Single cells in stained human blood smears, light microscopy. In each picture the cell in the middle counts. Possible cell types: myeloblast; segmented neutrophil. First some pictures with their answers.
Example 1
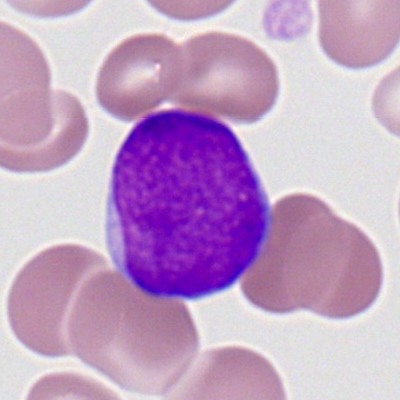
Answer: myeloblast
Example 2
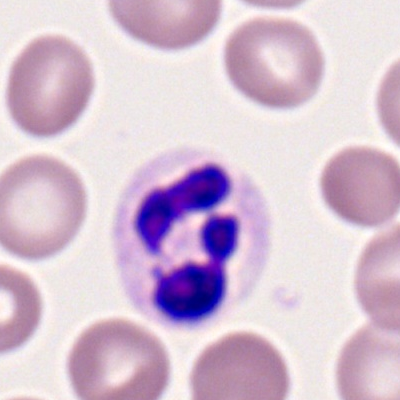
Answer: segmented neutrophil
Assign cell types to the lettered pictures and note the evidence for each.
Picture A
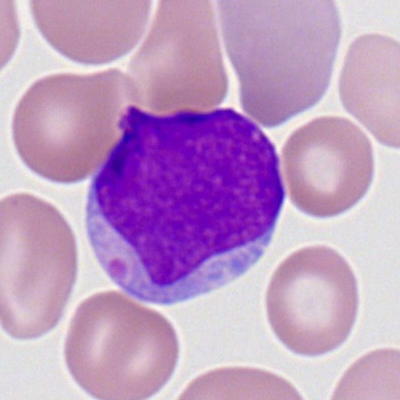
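myeloblast. Reason: The nucleus fills most of the cell.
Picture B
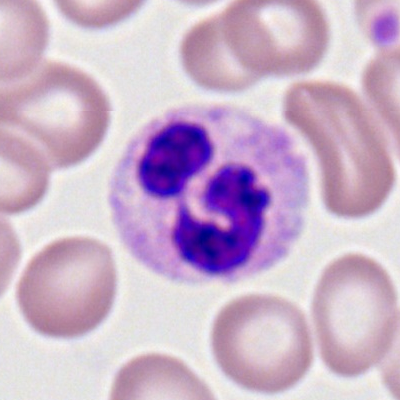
segmented neutrophil. Reason: The cytoplasm is plentiful and pale pinkish-lilac.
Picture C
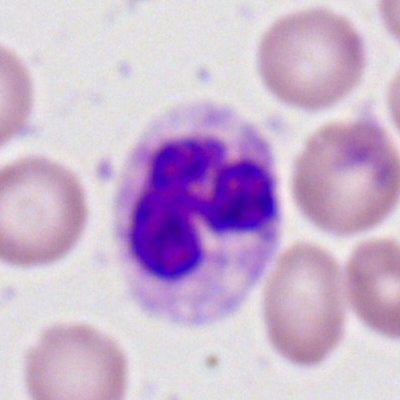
segmented neutrophil. Reason: The nucleus is divided into separate lobes.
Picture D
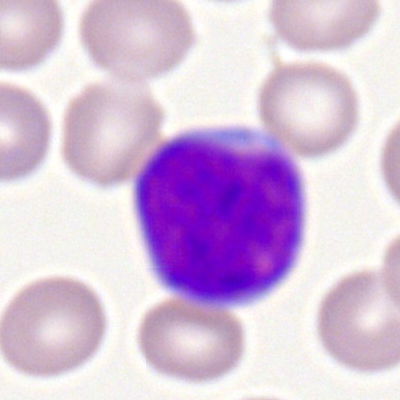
myeloblast. Reason: The cytoplasm is very scant, showing only as a thin pale blue crescent along the top edge.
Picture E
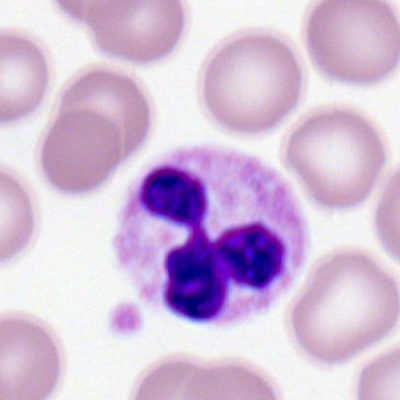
segmented neutrophil. Reason: The nucleus is divided into three lobes.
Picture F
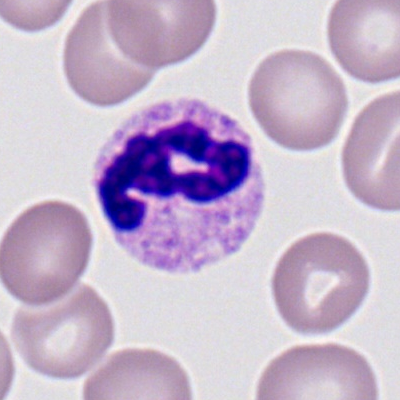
segmented neutrophil. Reason: The nucleus is a single long strand curved into a hook shape.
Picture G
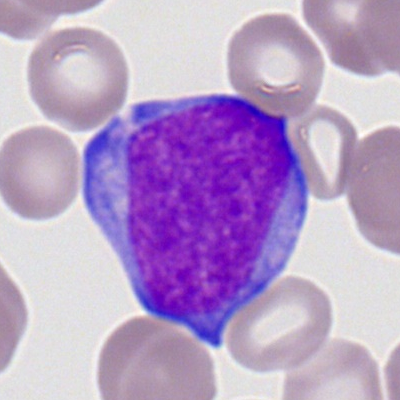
myeloblast. Reason: The nucleus is a single unlobed mass filling most of the cell.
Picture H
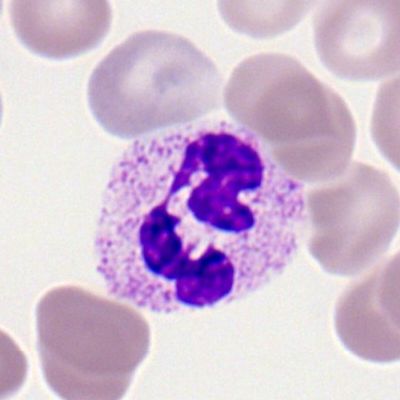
segmented neutrophil. Reason: The cytoplasm is pale pink and surrounds the nucleus generously.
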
